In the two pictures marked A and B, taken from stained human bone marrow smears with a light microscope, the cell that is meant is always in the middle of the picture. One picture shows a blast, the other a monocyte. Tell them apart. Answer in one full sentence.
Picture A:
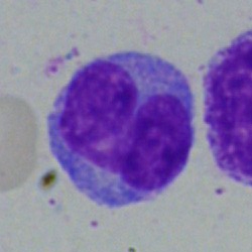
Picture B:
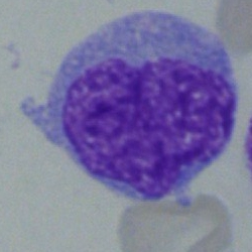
Picture A is of a monocyte, and picture B is of a blast.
